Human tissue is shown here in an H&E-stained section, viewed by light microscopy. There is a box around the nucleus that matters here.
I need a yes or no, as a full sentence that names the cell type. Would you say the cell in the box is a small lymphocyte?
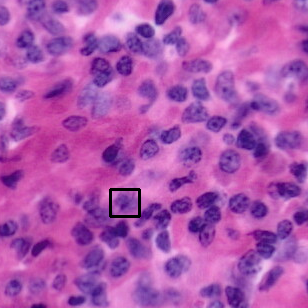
No, the cell in the box is an endothelial cell instead of a small lymphocyte.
